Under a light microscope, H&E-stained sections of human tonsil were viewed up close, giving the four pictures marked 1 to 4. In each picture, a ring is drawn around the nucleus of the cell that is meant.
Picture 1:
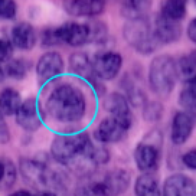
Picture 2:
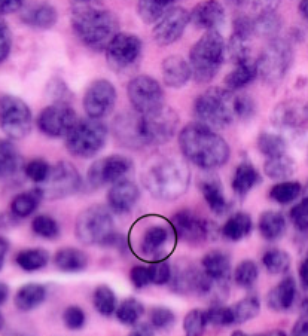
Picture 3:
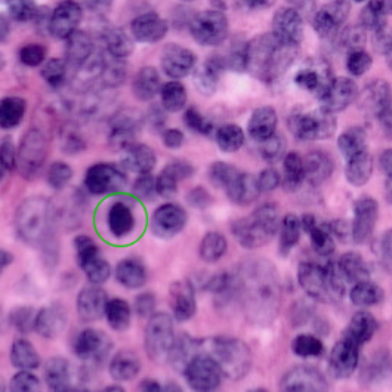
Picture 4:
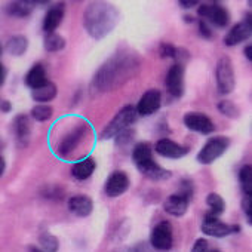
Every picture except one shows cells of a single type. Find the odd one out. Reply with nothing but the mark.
4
